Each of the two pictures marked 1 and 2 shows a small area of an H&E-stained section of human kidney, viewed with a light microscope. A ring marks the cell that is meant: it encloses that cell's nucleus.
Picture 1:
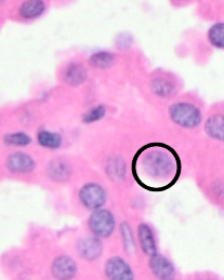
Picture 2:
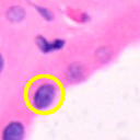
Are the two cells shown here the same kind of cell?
yes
